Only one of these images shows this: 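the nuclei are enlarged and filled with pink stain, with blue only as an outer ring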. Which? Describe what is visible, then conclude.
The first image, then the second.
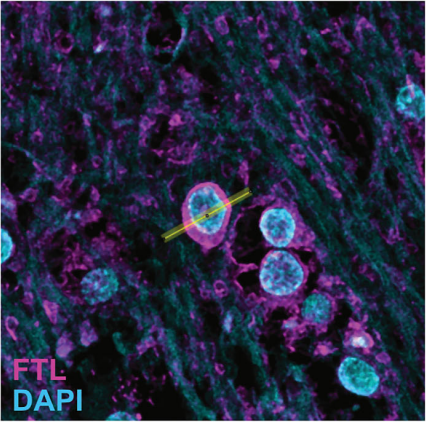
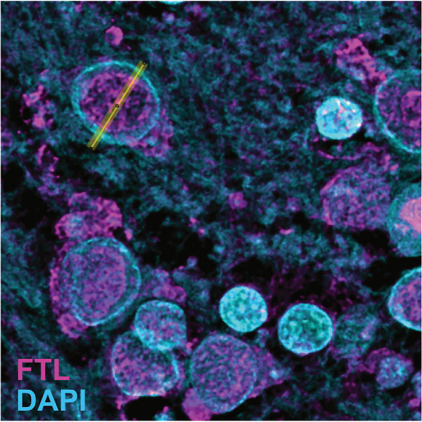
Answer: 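First image: nuclei are small and blue, with pink lying around them. Second image: several large nuclei are filled with pink and rimmed by a thin blue ring.
Conclusion: the second image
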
